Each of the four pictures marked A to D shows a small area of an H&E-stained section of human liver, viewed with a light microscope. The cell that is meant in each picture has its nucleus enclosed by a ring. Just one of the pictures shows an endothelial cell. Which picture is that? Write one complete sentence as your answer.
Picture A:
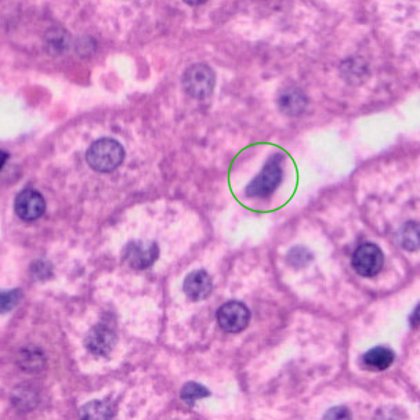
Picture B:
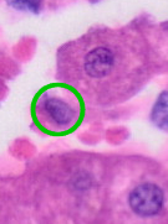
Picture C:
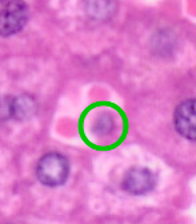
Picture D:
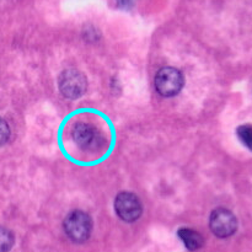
The endothelial cell is the one in picture D.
